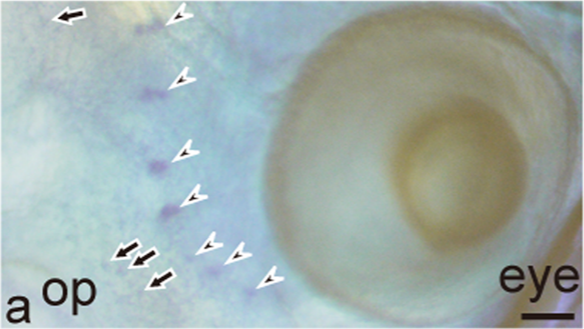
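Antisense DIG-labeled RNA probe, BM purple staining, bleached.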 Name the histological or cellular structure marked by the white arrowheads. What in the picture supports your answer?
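Lateral lines. Small purple dots lie in a regular row curving behind and below the eye.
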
